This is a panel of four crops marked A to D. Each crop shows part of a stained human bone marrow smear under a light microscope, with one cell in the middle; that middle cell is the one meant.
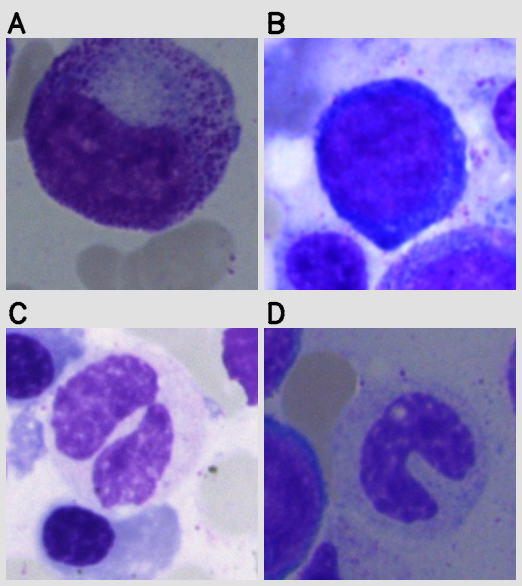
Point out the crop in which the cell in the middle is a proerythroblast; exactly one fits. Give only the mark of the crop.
B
